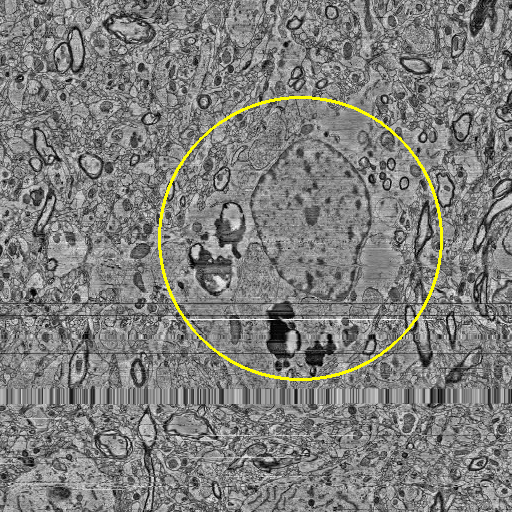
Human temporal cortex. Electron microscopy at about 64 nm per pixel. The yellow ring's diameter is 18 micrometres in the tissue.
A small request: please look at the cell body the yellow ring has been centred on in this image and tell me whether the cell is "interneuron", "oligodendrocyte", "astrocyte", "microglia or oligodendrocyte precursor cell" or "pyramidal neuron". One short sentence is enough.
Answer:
The cell marked by the ring is an astrocyte.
